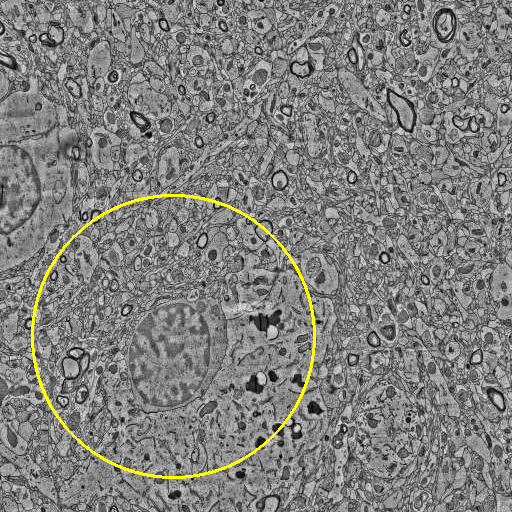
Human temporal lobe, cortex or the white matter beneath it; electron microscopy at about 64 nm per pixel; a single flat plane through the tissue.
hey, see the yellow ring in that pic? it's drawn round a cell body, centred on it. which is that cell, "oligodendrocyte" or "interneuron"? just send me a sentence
The cell in the ring is an oligodendrocyte.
